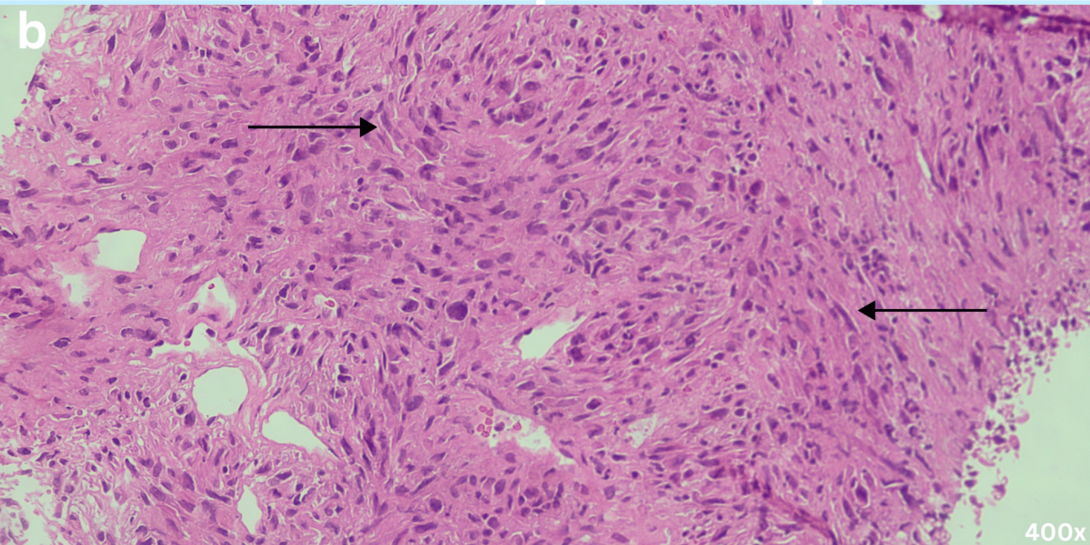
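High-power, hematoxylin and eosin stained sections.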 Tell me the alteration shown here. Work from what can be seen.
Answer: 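Nuclei vary widely in size and shape, some large and bizarre. Many nuclei stain very dark purple.
Pleomorphic hyperchromatic nuclei.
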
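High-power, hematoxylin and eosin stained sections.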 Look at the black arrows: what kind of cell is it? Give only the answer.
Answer: Atypical spindle cells.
